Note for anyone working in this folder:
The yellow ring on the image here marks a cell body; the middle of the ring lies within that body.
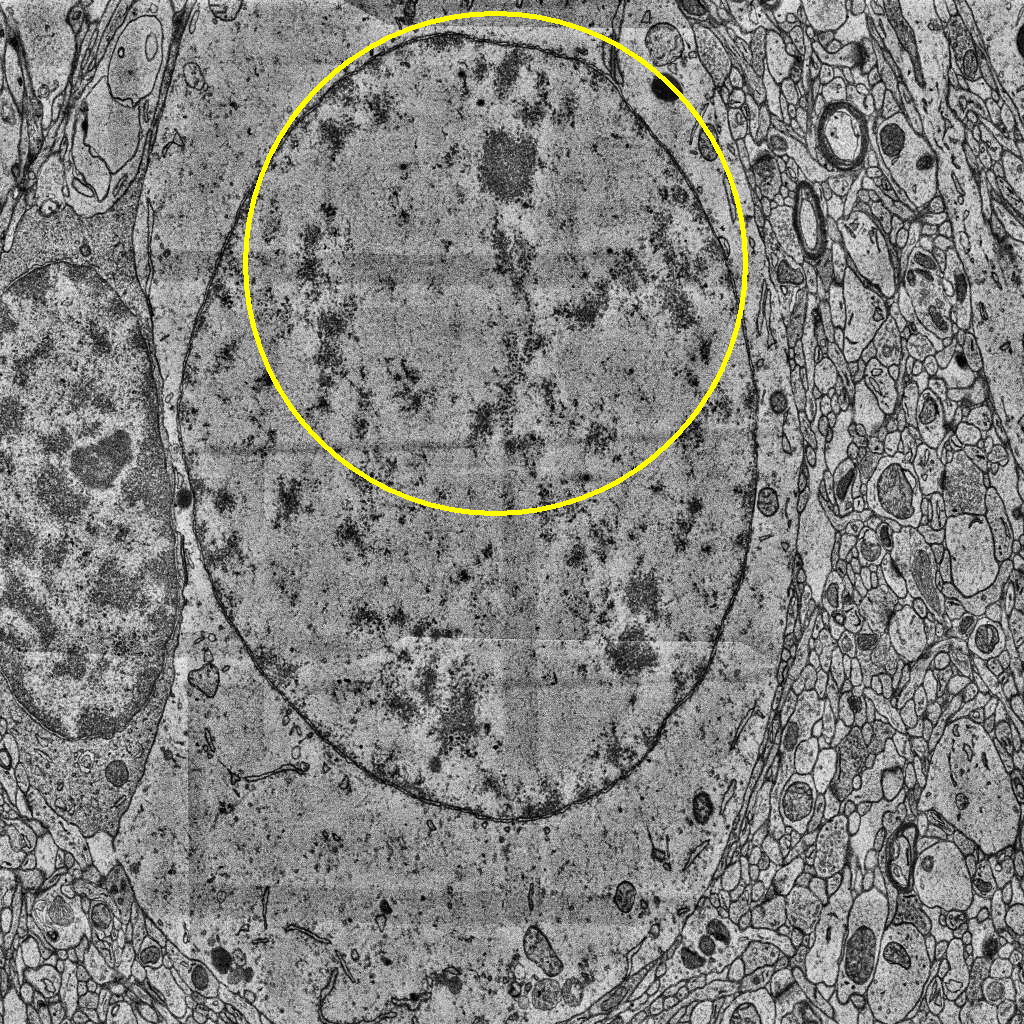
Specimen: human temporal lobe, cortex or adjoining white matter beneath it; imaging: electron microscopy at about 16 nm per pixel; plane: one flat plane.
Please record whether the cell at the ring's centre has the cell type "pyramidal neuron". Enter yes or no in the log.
yes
